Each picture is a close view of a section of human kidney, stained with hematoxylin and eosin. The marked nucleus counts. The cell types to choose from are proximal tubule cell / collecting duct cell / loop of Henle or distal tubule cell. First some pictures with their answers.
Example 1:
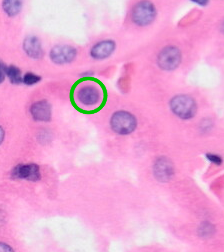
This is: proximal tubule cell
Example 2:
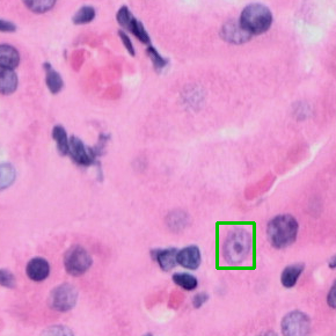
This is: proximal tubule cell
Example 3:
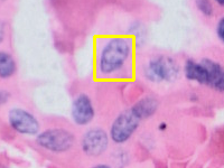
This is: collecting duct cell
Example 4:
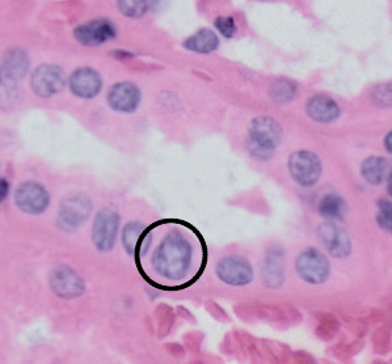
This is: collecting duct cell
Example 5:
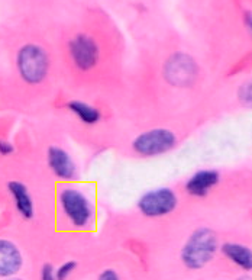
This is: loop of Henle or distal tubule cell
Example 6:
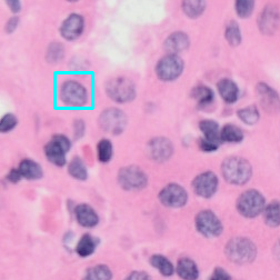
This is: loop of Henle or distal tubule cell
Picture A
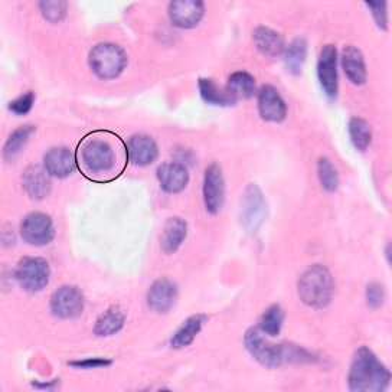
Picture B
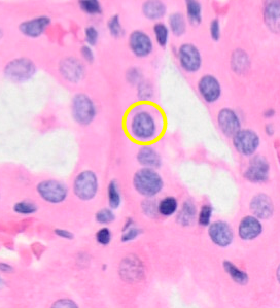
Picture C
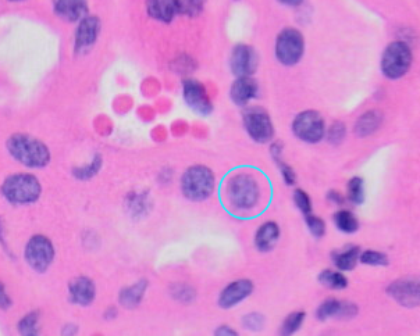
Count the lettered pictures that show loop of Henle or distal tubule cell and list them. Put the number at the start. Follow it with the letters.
0, none of them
